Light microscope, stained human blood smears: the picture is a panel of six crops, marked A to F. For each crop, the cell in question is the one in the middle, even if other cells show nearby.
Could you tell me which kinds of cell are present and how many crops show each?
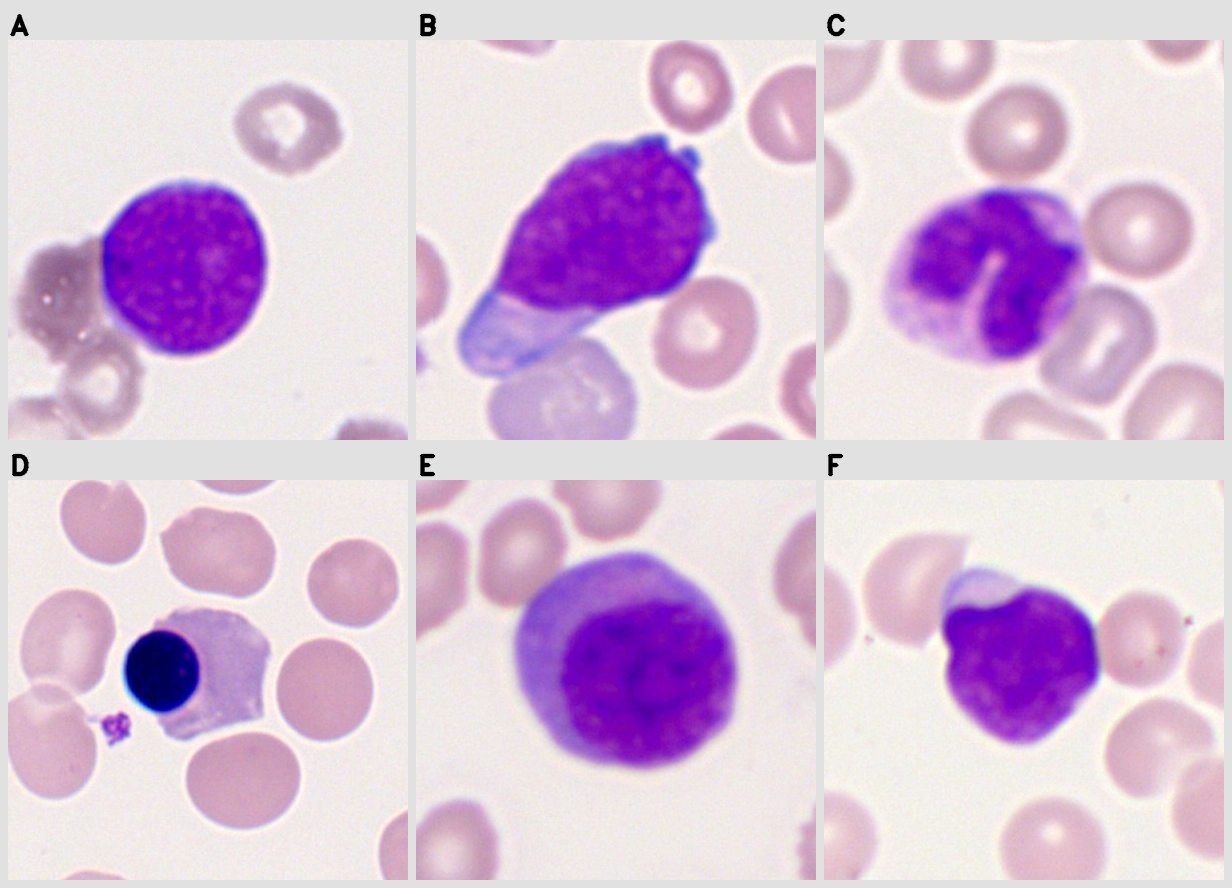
myeloblast: 4
basophil: 1
erythroblast: 1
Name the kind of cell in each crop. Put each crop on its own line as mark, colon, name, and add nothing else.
A: myeloblast
B: myeloblast
C: basophil
D: erythroblast
E: myeloblast
F: myeloblast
